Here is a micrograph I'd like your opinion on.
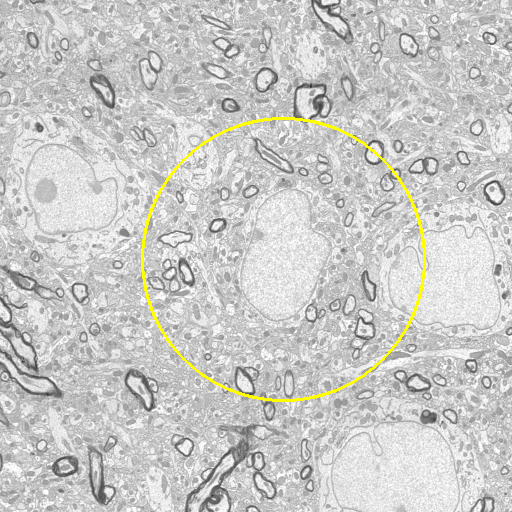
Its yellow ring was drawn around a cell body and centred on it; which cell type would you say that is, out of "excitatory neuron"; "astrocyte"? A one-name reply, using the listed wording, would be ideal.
astrocyte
